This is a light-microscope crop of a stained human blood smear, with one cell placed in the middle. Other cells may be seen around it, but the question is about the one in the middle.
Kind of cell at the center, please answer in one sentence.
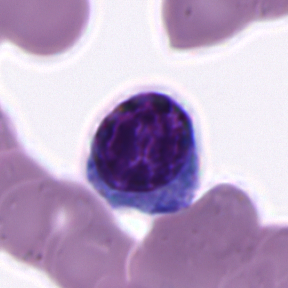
Answering briefly, the cell in the middle is a plasma cell.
